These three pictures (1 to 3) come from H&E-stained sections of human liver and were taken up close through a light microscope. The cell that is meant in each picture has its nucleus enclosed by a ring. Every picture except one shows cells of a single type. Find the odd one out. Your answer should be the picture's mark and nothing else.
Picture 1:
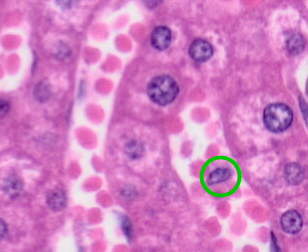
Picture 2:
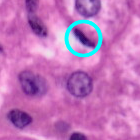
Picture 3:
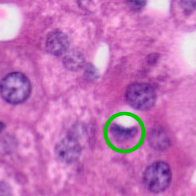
1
